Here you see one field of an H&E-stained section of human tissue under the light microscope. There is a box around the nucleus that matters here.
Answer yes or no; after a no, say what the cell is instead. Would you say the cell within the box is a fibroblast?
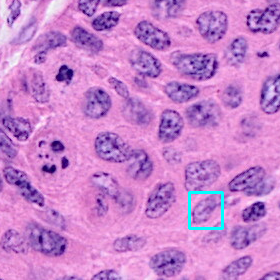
No, it is a squamous carcinoma cell.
